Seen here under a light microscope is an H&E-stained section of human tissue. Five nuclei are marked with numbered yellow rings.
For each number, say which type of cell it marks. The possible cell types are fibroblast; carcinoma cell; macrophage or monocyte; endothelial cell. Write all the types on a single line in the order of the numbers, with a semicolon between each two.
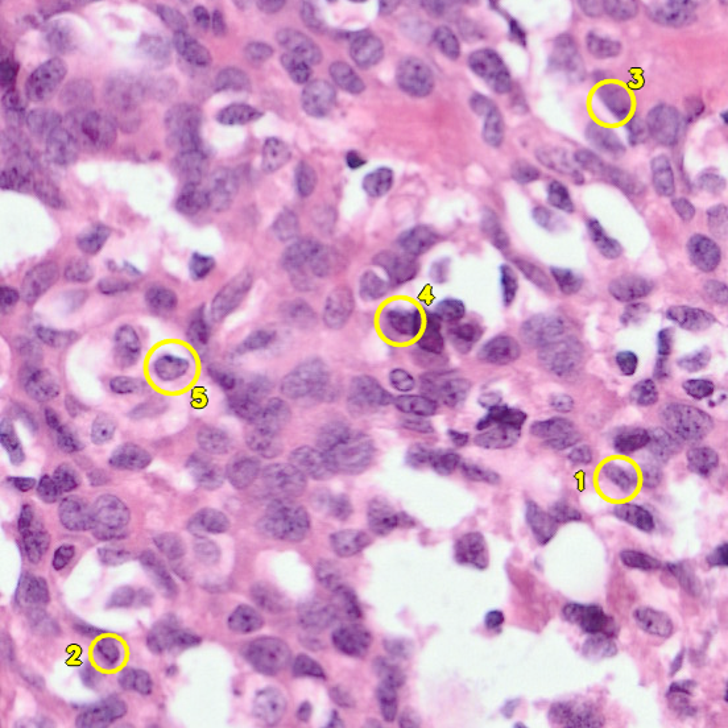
carcinoma cell; macrophage or monocyte; carcinoma cell; carcinoma cell; macrophage or monocyte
